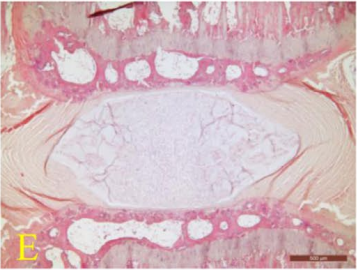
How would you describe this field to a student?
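This is a section through a whole intervertebral disc lying between two vertebral bodies. In the middle sits a large, pale, oval nucleus pulposus with a fine lacy network inside it. Around it the annulus runs as concentric, wavy fibrous lamellae that fan out to the sides. Above and below, pink-stained bone with rounded, empty-looking marrow spaces forms the endplates of the vertebrae.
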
